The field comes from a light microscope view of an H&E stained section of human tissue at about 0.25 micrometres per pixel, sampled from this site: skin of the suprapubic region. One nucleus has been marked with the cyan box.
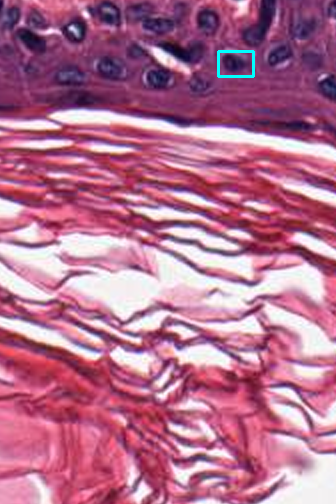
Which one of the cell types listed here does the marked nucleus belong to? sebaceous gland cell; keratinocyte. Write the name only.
keratinocyte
